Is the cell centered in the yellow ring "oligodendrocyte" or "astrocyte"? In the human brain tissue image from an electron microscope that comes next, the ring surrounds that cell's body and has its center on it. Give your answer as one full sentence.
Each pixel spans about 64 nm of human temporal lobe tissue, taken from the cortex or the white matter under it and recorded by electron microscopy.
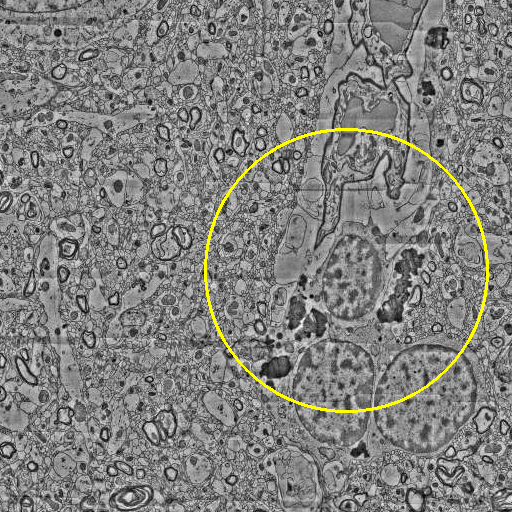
The cell at the center of the yellow ring is an oligodendrocyte in the micrograph.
